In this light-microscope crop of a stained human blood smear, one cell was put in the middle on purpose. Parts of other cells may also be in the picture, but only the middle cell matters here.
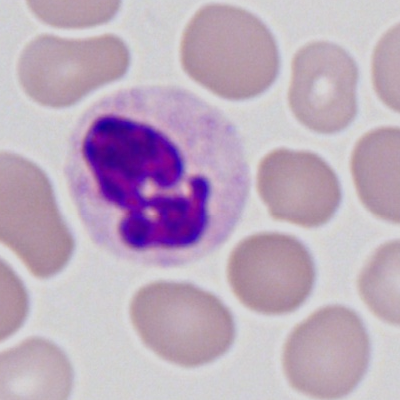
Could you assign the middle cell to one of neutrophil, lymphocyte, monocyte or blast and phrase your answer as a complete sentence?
Answering briefly, the cell in the middle is a neutrophil.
